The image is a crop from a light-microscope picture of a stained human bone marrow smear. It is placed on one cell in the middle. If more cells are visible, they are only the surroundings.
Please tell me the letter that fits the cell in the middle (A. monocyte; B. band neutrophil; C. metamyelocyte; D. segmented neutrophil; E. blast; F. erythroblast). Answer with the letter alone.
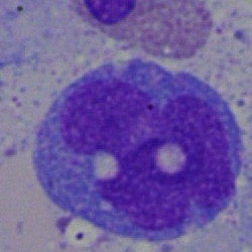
A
